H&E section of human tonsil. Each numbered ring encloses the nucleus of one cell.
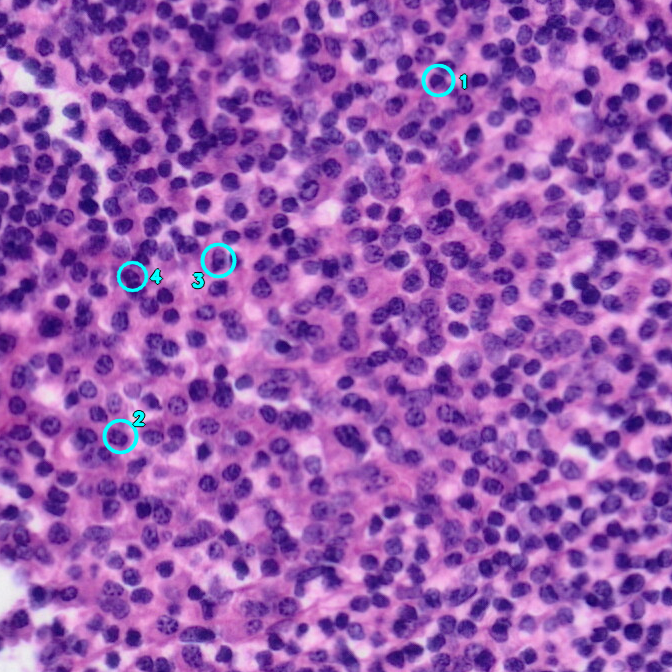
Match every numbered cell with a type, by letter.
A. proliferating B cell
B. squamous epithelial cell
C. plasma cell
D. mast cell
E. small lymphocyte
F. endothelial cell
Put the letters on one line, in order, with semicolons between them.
E; C; C; C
